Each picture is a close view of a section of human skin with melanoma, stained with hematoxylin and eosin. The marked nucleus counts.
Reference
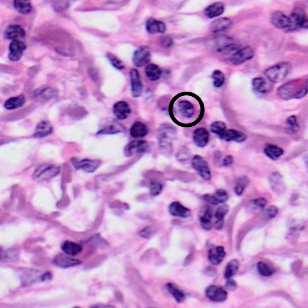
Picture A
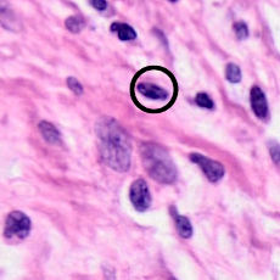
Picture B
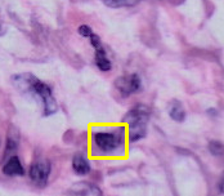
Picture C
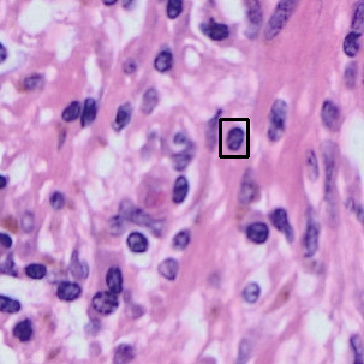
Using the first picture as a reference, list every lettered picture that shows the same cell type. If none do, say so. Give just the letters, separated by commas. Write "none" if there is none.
B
